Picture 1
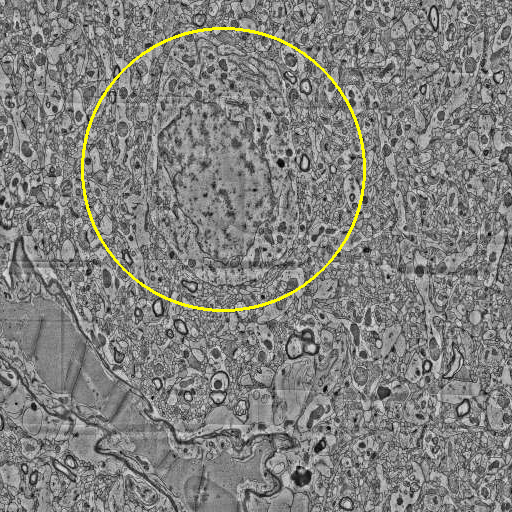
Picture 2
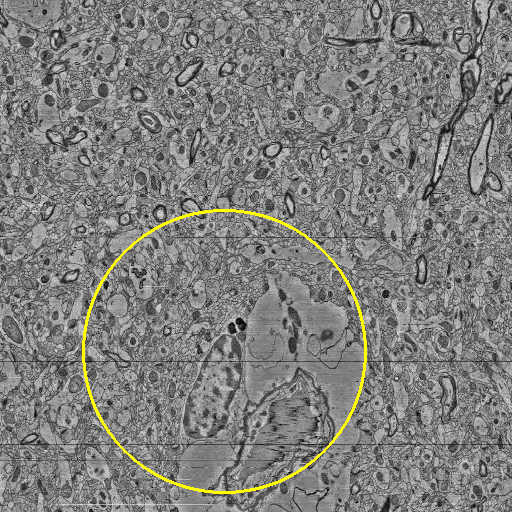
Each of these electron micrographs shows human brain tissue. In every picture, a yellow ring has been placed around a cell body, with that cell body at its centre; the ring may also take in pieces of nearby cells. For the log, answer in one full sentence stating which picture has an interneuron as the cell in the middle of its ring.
In picture 1, the cell at the centre of the yellow ring is the requested one.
